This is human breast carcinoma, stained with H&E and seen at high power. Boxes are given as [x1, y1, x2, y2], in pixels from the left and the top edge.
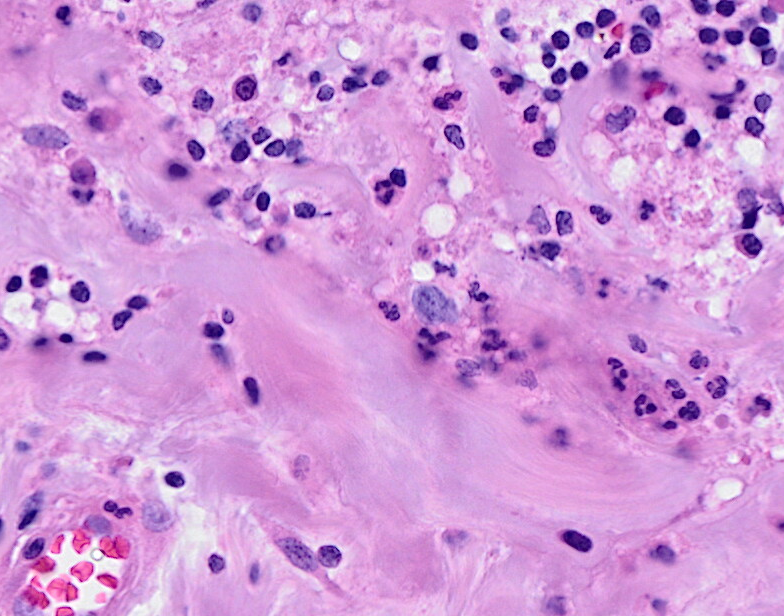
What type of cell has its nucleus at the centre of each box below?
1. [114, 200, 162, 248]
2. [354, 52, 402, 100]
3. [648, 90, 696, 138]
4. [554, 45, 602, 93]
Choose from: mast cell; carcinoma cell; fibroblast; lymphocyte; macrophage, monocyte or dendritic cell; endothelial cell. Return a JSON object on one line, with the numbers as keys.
{"1": "fibroblast", "2": "lymphocyte", "3": "lymphocyte", "4": "lymphocyte"}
